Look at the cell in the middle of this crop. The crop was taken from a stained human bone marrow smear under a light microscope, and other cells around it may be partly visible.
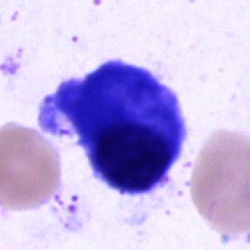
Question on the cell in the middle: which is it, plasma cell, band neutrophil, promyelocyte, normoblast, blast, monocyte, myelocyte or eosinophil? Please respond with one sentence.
The central cell in this smear crop is a plasma cell.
